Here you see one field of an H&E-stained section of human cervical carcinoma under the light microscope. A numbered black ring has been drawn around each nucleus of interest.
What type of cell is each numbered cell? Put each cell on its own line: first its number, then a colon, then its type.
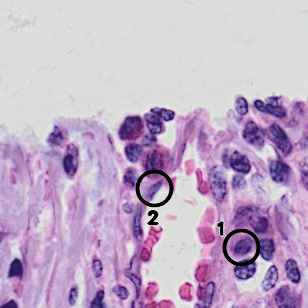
1: lymphocyte
2: endothelial cell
